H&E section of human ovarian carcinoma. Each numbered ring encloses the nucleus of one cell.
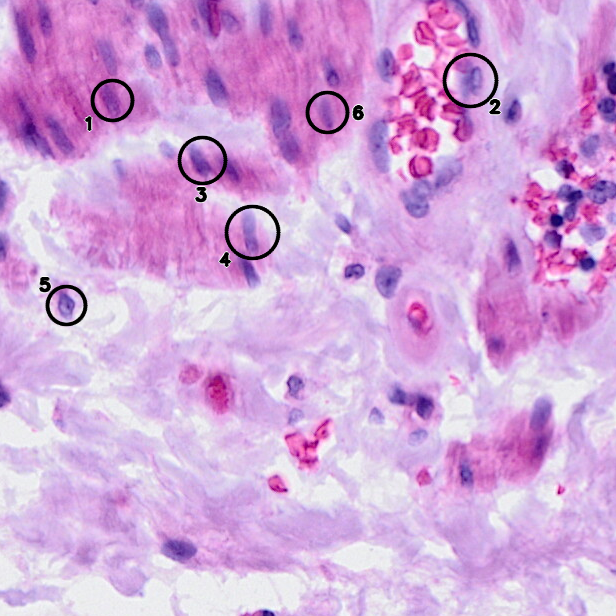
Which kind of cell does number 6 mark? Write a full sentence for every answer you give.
In this section, the cell tagged 6 is a smooth muscle cell.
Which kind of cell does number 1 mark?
In this section, the cell numbered 1 is a smooth muscle cell.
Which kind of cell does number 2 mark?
The cell referred to as 2 is an endothelial cell.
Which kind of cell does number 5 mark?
Cell number 5 in this section is a macrophage or monocyte.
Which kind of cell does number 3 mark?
To a smooth muscle cell belongs the nucleus marked 3.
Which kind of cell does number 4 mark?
The nucleus marked 4 is the nucleus of a smooth muscle cell.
